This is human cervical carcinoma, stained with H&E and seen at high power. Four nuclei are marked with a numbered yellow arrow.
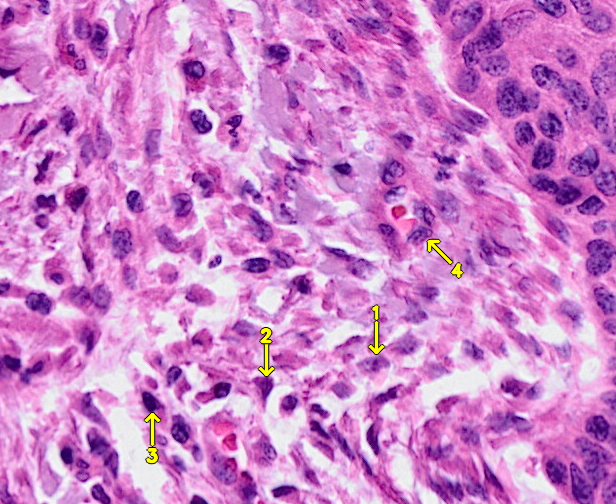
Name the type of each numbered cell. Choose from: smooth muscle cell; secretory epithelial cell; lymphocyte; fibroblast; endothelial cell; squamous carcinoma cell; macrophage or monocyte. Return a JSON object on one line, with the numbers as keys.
{"1": "fibroblast", "2": "fibroblast", "3": "lymphocyte", "4": "endothelial cell"}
